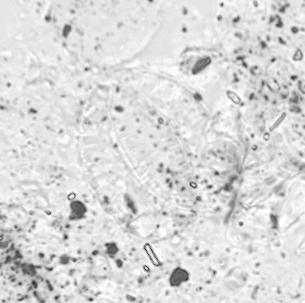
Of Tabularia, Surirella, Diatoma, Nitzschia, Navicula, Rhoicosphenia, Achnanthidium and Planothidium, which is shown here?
Surirella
